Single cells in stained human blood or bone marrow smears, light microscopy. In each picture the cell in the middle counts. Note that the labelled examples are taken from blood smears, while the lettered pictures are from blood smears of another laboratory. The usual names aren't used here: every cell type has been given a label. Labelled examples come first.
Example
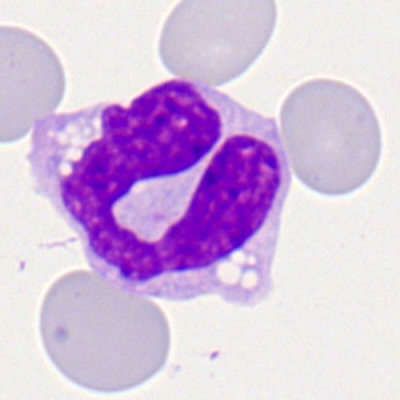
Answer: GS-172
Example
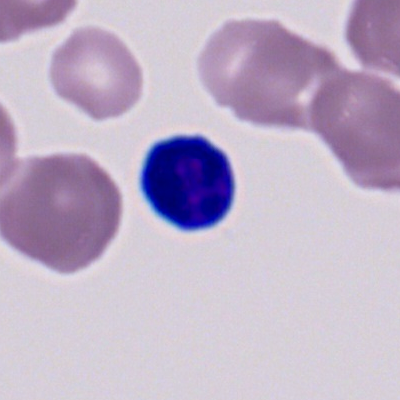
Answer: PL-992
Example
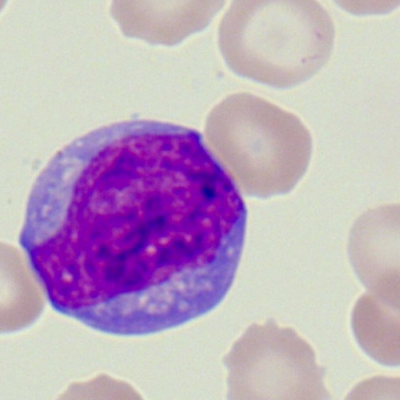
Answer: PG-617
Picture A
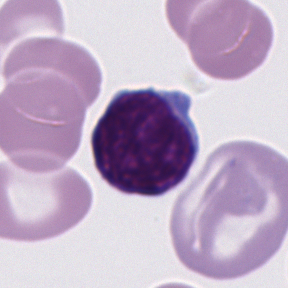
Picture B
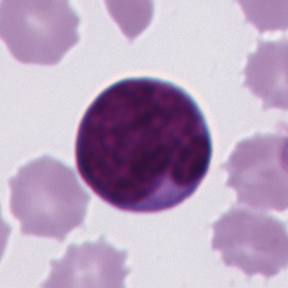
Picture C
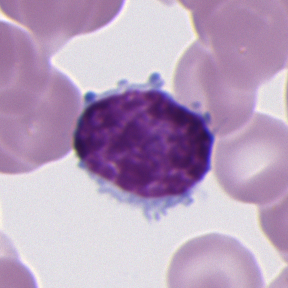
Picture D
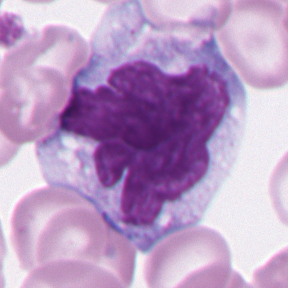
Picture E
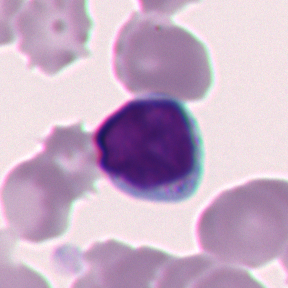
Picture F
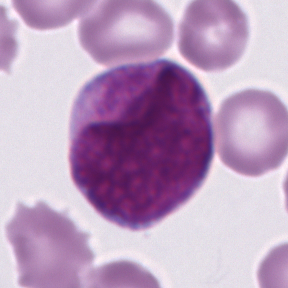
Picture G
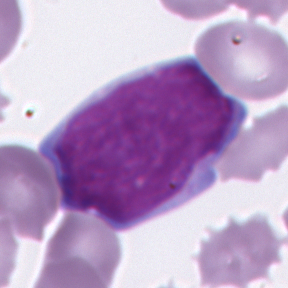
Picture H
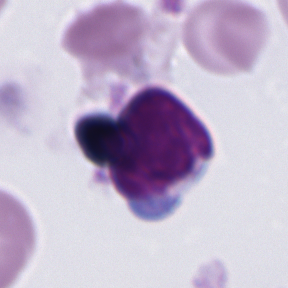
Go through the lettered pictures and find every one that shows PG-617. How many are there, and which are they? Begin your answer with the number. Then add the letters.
Count: 3 (B, F, G)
